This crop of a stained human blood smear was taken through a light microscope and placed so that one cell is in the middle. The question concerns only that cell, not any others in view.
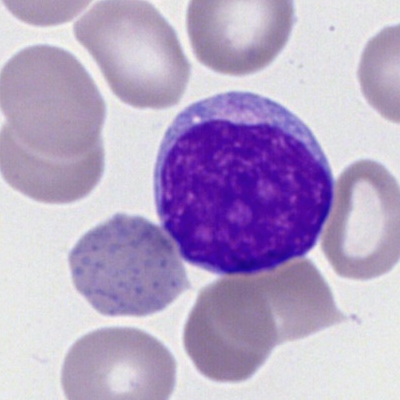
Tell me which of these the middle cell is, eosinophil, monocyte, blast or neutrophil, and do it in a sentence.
Whatever else lies nearby, the middle cell is a blast.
